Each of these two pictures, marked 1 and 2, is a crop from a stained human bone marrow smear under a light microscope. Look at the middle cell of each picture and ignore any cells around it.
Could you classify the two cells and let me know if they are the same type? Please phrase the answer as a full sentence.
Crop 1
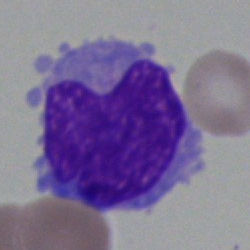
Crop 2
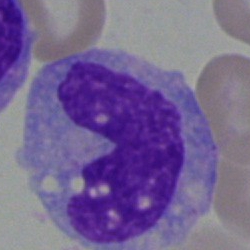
Yes, the cells under consideration in both crops are monocytes.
